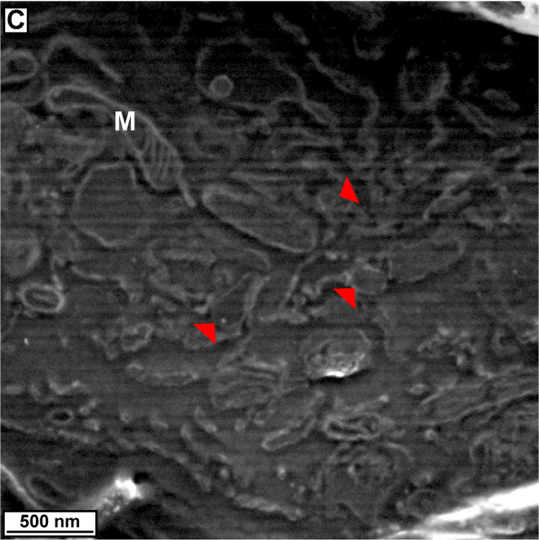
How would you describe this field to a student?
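A scanning electron view of cytoplasm packed with membranous organelles. A mitochondrion at upper left shows regular transverse cristae, and further oval mitochondria with cristae appear lower down. Numerous thin curving membrane profiles and tubules weave between larger rounded, smoothly outlined compartments. A bright dense body sits near the lower centre, and the corners show bright, featureless material. Fine horizontal streaking runs across the image.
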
